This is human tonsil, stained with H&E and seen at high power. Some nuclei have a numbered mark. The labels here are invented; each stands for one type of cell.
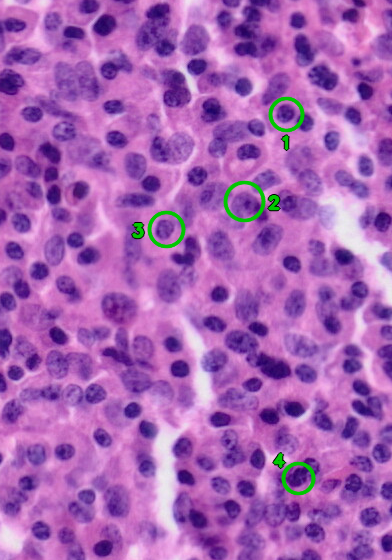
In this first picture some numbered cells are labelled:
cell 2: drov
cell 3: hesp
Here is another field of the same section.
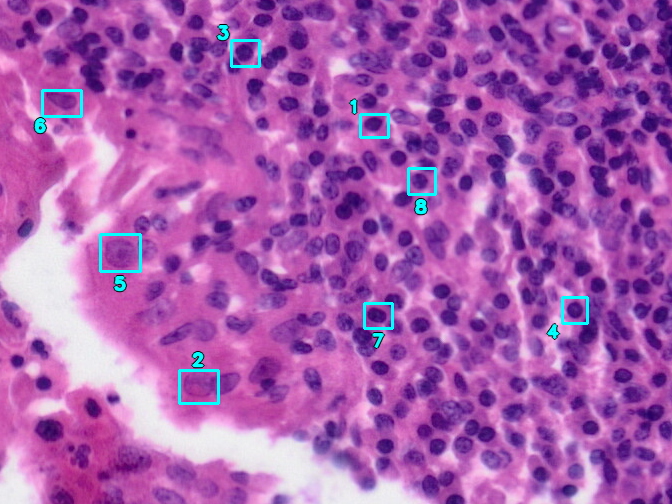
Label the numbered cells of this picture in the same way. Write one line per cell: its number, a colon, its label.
1: hesp
2: drov
3: hesp
4: hesp
5: drov
6: drov
7: hesp
8: hesp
